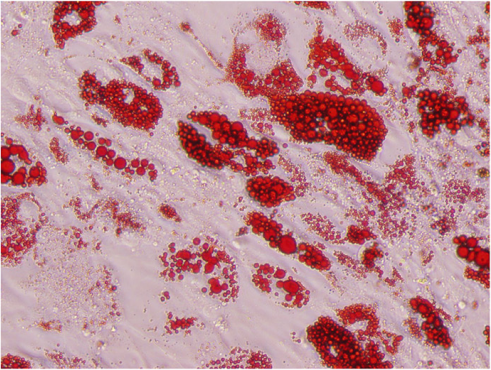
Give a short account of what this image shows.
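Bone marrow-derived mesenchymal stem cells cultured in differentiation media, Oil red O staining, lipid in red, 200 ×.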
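The droplets vary from small granules to large spheres and are packed in clusters that fill the cytoplasm of individual cells. Between these clusters lie pale, flattened, unstained cells and scattered fine red granules.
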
